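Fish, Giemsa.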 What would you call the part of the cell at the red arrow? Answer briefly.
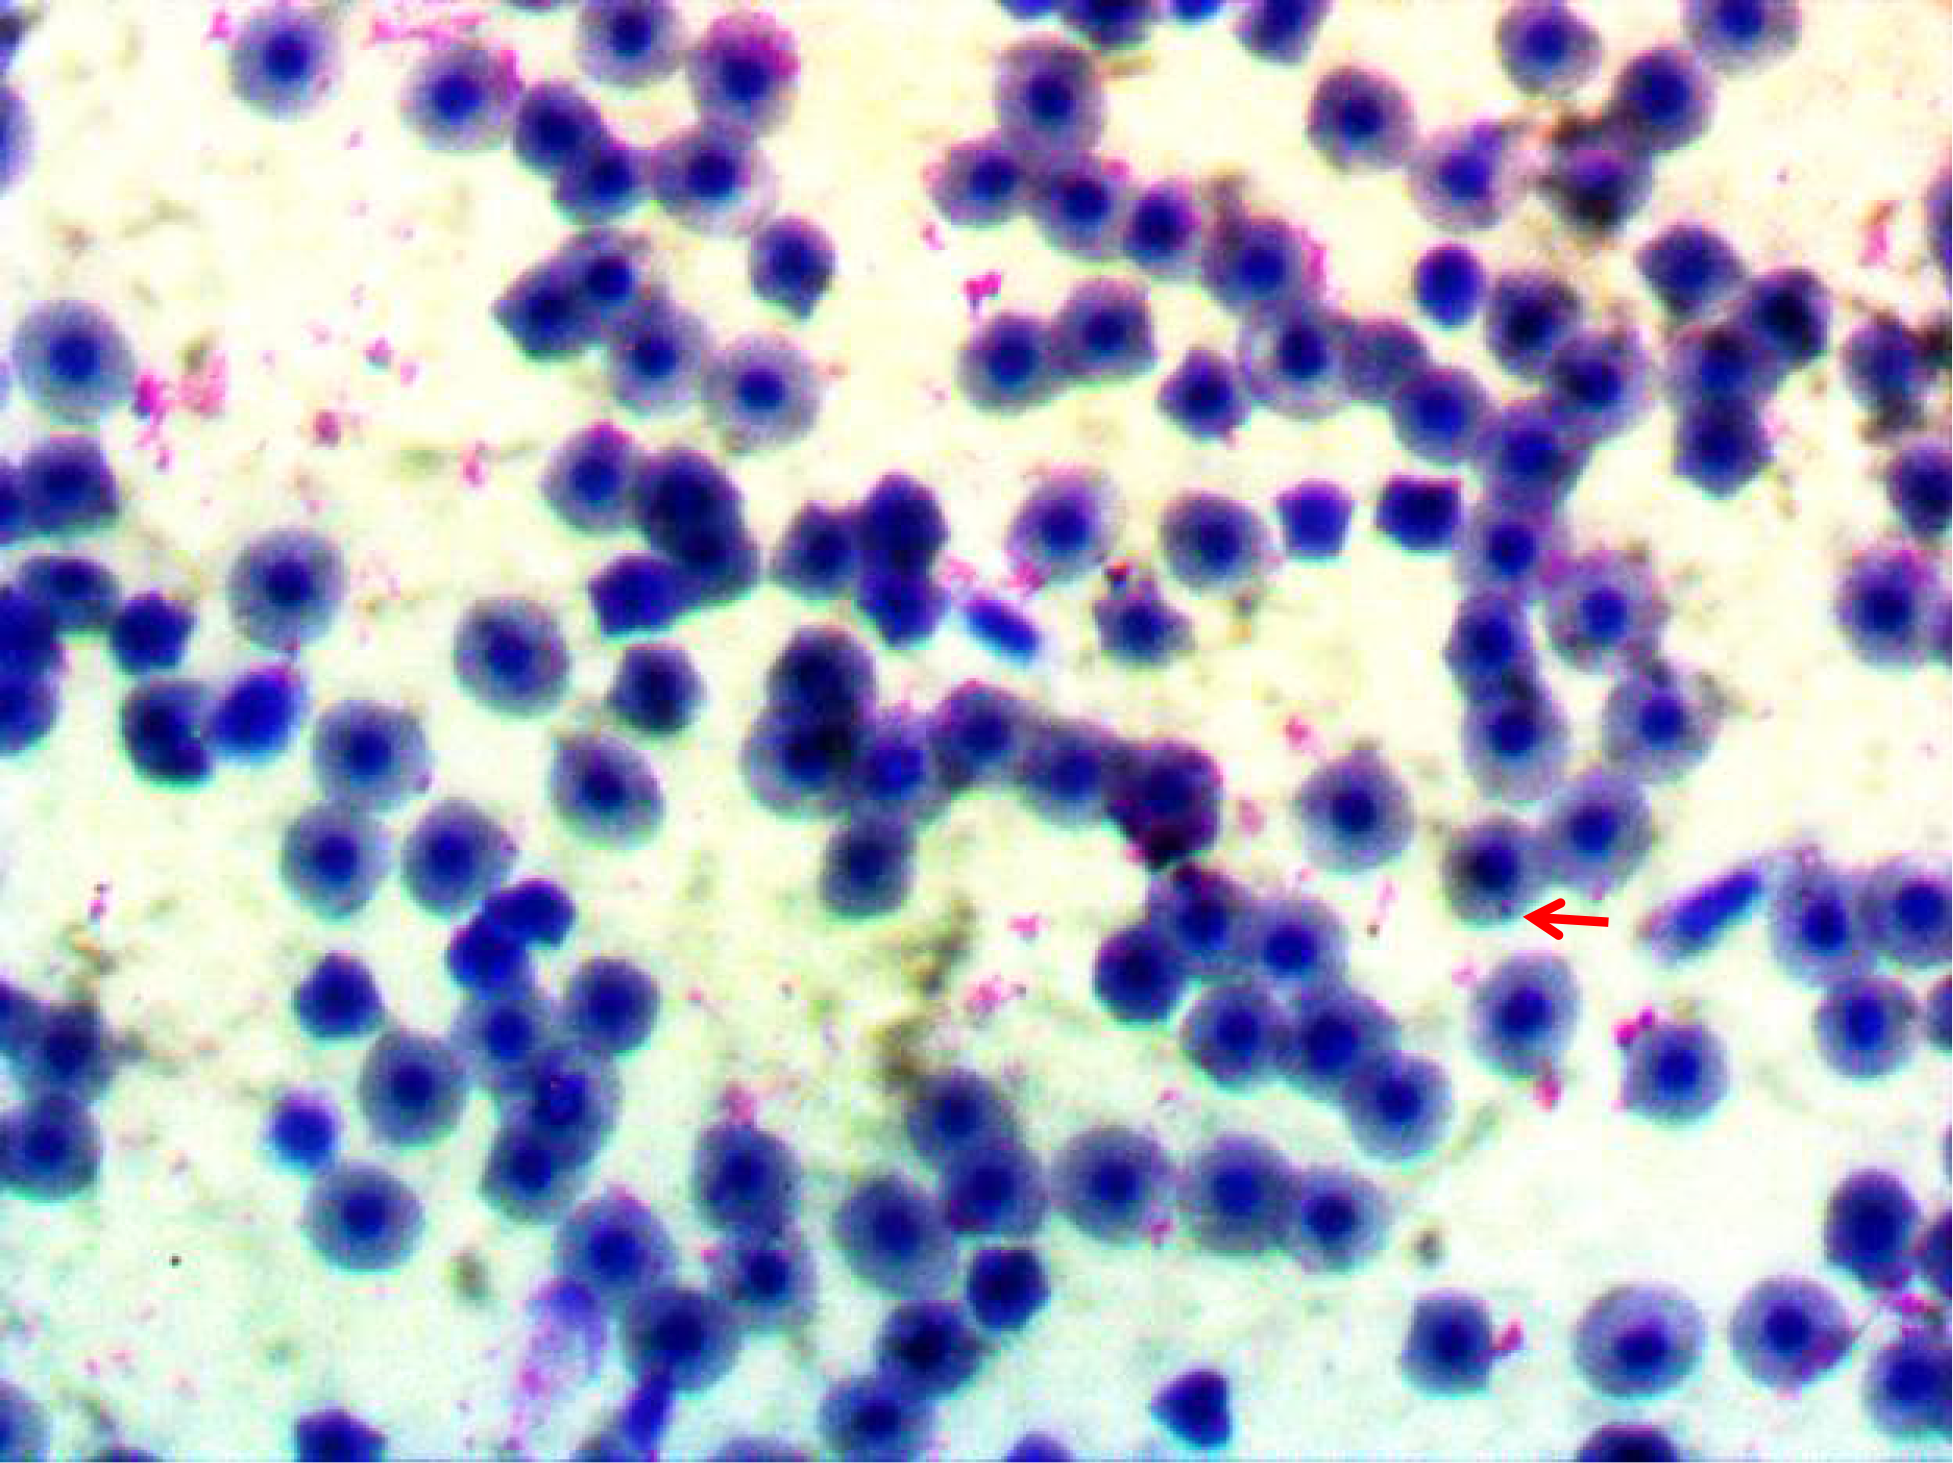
Micronucleus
